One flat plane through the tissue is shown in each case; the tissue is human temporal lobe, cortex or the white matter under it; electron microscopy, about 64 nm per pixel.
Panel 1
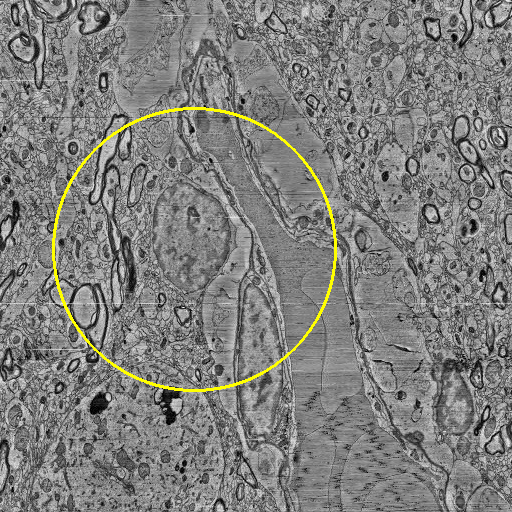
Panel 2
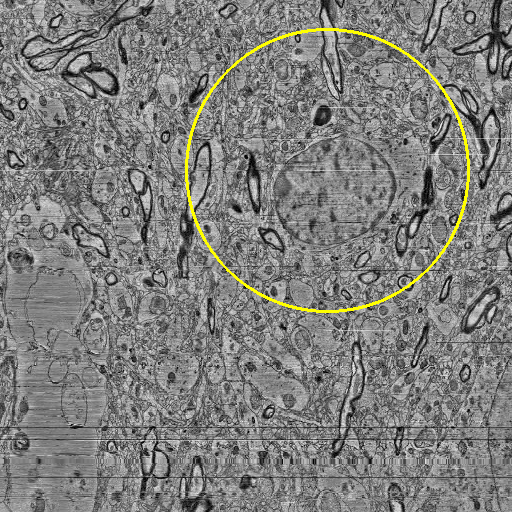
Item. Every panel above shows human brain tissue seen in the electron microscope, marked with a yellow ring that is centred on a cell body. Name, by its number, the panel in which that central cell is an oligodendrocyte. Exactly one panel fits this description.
1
